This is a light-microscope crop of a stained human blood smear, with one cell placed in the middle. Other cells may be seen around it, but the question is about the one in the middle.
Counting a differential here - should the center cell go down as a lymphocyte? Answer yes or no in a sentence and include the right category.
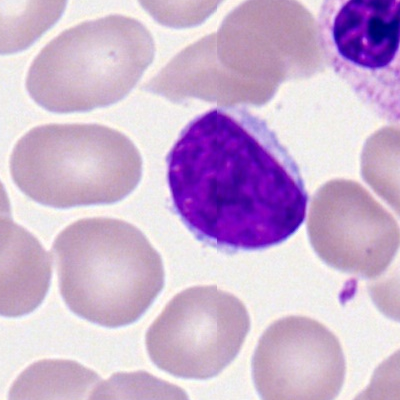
Yes, the cell here in the middle is a lymphocyte.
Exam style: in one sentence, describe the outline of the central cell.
Irregularity marks the cell border, whether as raggedness or as projections.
